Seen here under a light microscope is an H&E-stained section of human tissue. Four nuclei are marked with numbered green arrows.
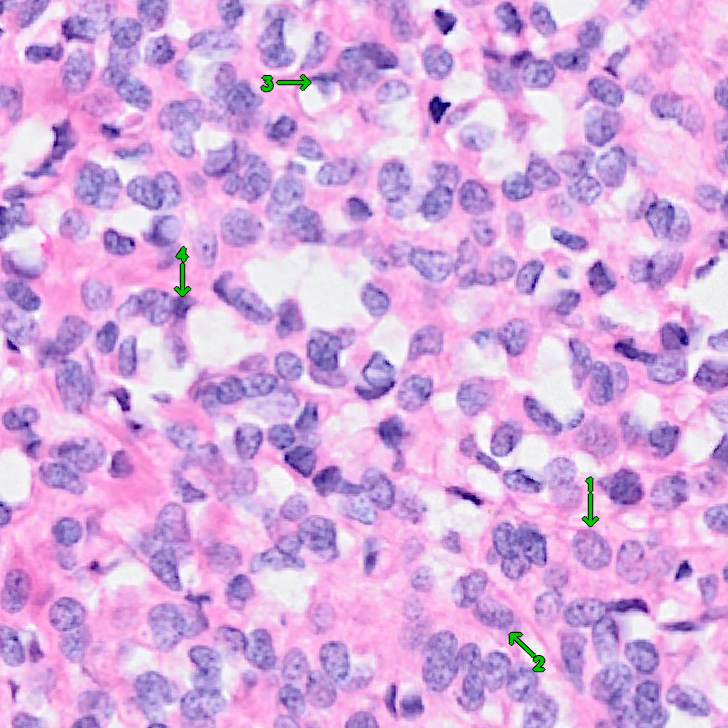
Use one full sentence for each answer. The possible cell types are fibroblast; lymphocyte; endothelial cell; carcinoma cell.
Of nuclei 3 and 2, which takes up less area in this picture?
Number 3 is smaller, since number 2 takes up about 2.5 times as much area.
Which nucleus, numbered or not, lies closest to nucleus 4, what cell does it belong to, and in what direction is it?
A carcinoma cell lies closest, to the left of nucleus 4.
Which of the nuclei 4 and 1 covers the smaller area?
Number 4 is smaller, since number 1 takes up about 2.5 times as much area.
